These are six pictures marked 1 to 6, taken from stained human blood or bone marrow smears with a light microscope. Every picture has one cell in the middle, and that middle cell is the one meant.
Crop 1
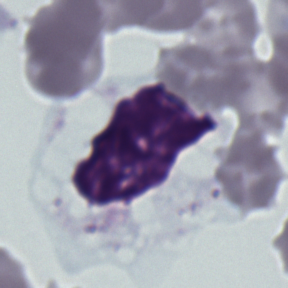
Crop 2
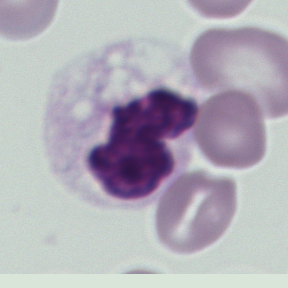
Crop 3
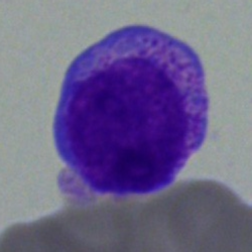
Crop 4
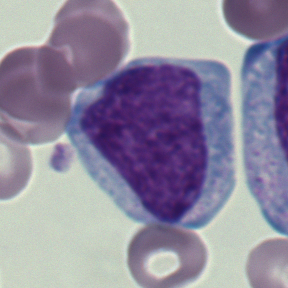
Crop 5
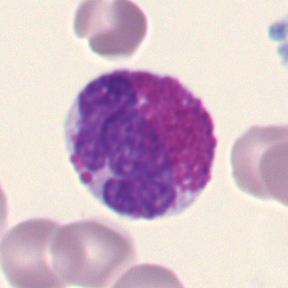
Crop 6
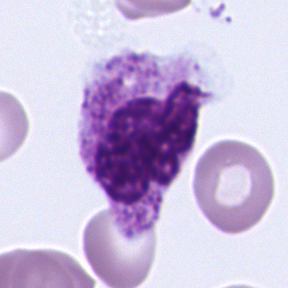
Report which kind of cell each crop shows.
1: neutrophil
2: neutrophil
3: promyelocyte
4: promyelocyte
5: eosinophil
6: neutrophil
